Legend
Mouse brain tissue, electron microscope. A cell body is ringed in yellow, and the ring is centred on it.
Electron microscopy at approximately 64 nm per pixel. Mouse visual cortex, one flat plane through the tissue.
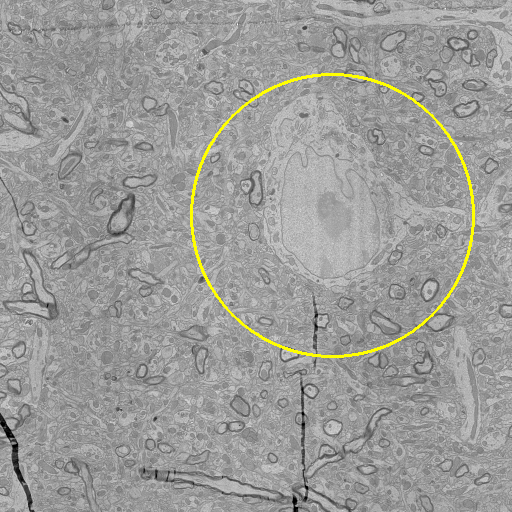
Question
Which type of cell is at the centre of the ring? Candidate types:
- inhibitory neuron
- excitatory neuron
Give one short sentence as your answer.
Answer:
The yellow ring is centred here on an excitatory neuron.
